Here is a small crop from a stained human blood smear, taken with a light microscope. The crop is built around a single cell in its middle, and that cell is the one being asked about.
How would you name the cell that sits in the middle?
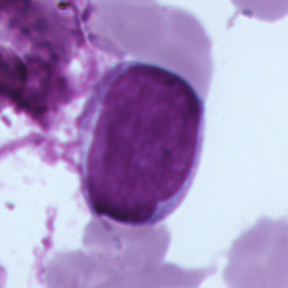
myeloblast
